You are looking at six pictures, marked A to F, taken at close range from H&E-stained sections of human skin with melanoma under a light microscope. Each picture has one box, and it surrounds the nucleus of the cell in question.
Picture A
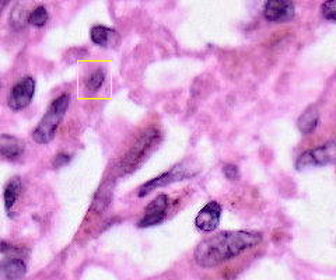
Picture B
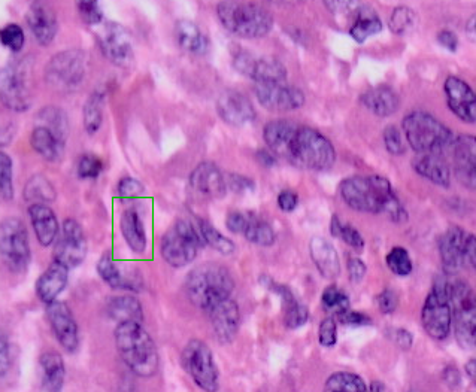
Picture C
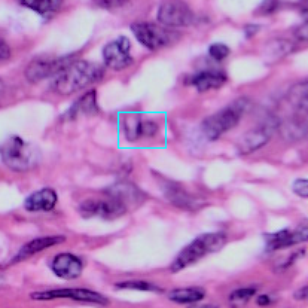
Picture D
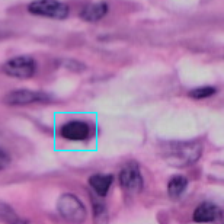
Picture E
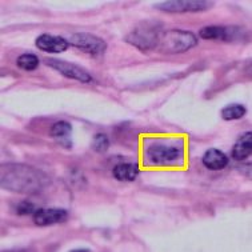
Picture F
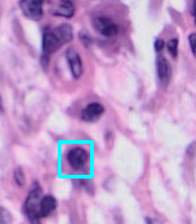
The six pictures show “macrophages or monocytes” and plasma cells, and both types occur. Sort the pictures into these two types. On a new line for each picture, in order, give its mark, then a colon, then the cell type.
A: macrophage or monocyte
B: macrophage or monocyte
C: macrophage or monocyte
D: plasma cell
E: plasma cell
F: plasma cell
